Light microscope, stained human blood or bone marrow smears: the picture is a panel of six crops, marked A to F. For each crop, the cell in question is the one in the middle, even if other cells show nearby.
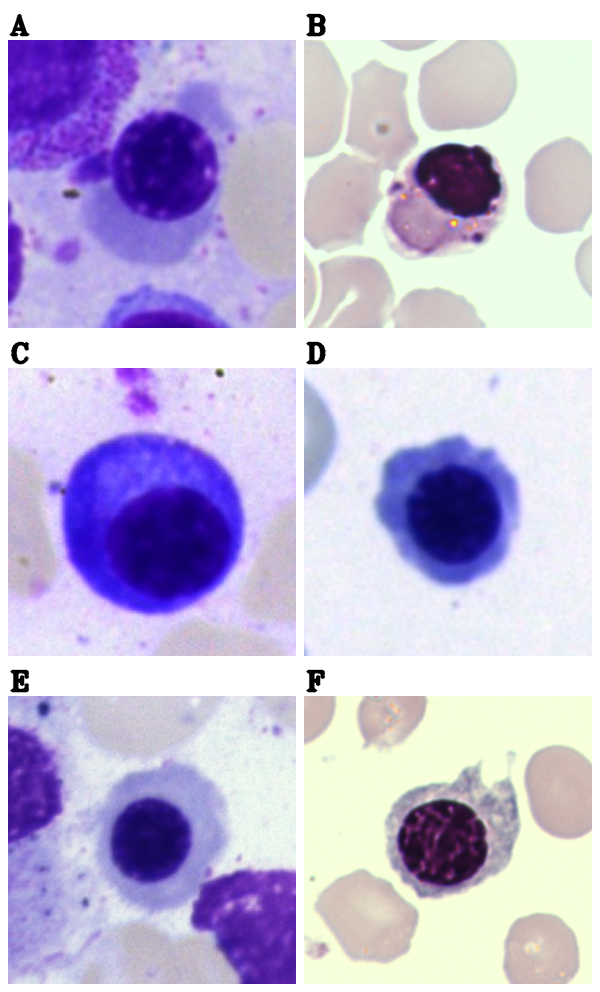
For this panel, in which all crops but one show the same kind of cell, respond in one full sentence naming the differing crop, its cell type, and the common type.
The exception is crop C, with a plasma cell; the remaining crops all show erythroblasts.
